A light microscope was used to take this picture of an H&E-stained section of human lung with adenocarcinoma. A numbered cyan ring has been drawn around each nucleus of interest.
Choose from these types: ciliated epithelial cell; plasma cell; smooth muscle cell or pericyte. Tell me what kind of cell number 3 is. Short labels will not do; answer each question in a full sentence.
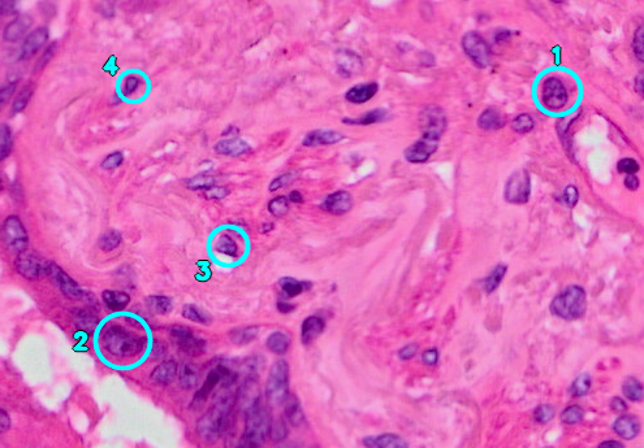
The cell pointed out as number 3 is a smooth muscle cell or pericyte.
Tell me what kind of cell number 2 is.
Regarding cell 2, this one is a ciliated epithelial cell.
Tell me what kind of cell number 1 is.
Cell 1, as marked in the section, is a plasma cell.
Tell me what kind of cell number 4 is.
Identified as a smooth muscle cell or pericyte is the cell bearing the number 4.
